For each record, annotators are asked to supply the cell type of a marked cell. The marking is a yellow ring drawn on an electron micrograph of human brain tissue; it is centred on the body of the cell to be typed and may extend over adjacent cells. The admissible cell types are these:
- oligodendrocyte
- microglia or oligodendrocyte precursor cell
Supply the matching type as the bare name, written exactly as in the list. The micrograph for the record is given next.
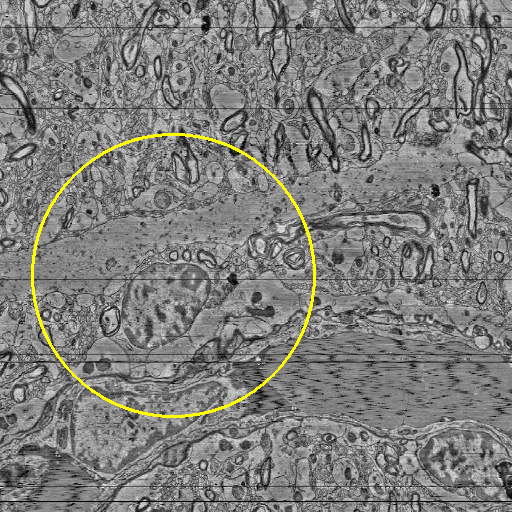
microglia or oligodendrocyte precursor cell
